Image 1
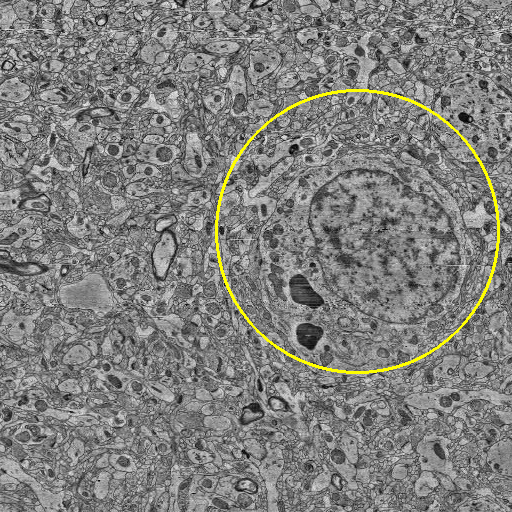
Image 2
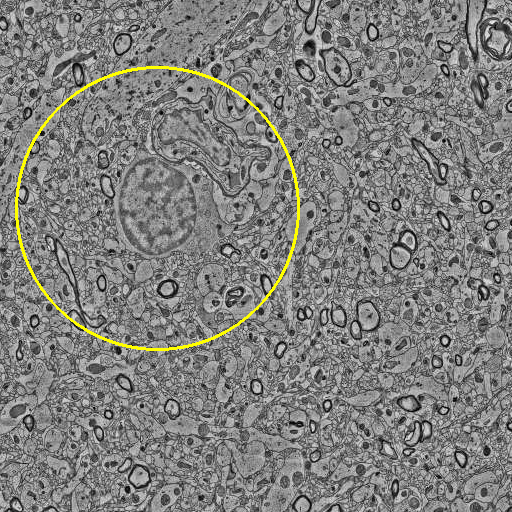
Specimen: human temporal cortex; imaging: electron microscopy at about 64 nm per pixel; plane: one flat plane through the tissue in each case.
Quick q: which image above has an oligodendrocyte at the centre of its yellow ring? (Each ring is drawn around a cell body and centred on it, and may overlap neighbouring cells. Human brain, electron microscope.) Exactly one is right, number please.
2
